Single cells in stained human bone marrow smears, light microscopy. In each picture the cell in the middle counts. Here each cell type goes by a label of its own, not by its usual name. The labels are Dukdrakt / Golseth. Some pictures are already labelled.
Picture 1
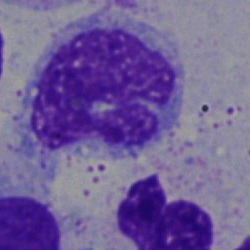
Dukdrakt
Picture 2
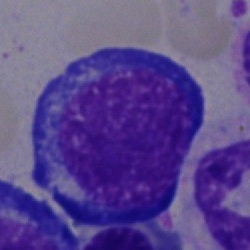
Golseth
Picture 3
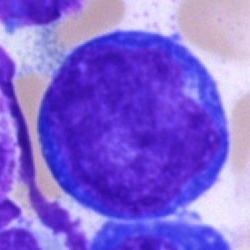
Golseth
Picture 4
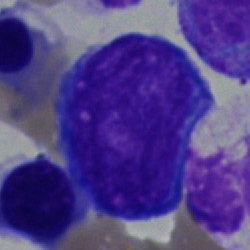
Golseth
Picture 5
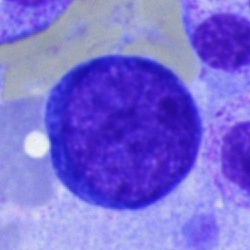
Golseth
